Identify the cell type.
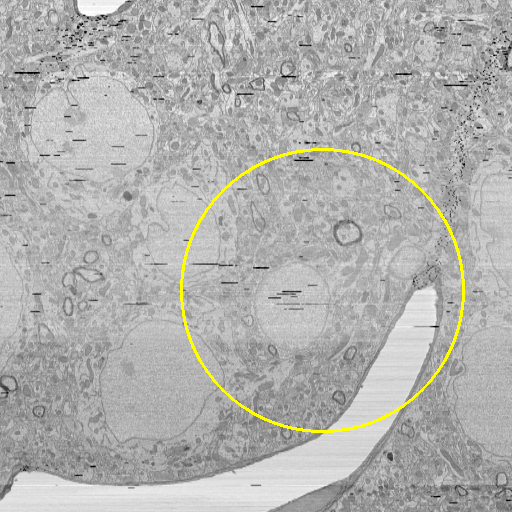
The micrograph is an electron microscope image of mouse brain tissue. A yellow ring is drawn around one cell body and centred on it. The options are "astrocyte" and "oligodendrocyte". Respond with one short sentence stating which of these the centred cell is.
The cell body in the ring belongs to an astrocyte.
